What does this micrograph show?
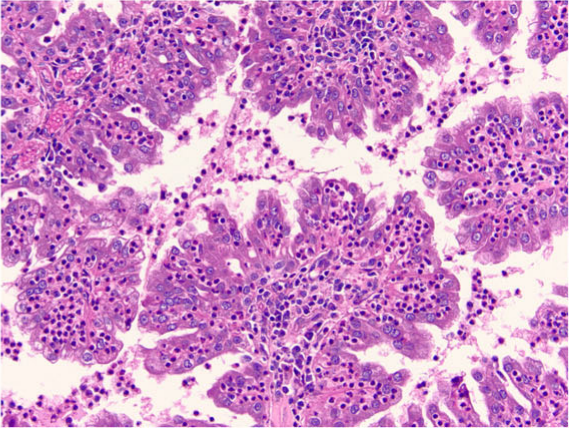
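The tumour cells are columnar to polygonal and crowd along the surface of each frond. Their nuclei are round, and many carry a readily visible prominent nucleolus. The central stalks of the fronds are packed with small, dark, round nuclei. Similar small dark cells also lie loose in the clear spaces between the fronds.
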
